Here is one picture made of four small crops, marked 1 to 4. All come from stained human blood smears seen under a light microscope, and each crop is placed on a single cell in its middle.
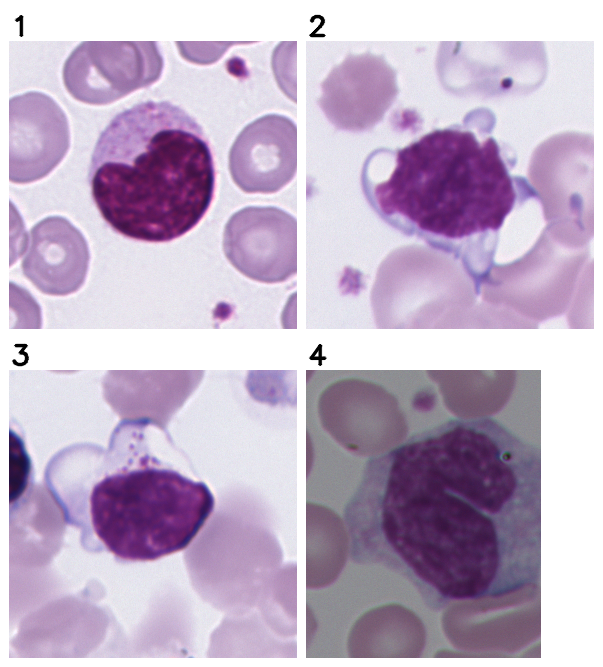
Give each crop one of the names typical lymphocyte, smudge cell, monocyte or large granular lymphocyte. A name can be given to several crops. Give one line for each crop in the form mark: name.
1: large granular lymphocyte
2: typical lymphocyte
3: large granular lymphocyte
4: monocyte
